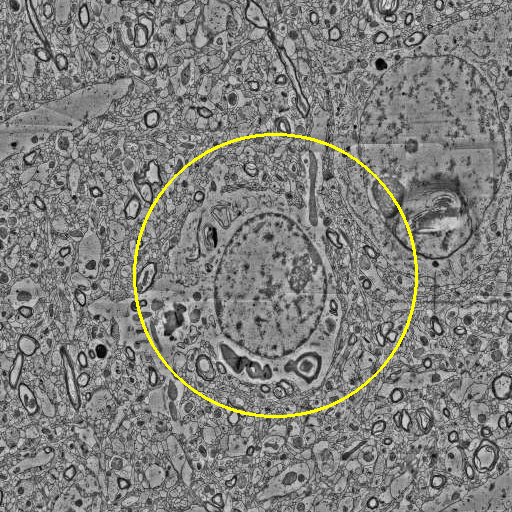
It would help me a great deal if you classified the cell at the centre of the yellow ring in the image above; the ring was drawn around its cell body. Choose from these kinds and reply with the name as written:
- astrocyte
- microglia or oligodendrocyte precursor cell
astrocyte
